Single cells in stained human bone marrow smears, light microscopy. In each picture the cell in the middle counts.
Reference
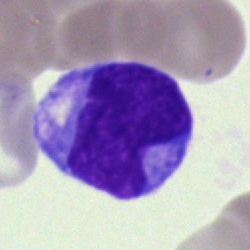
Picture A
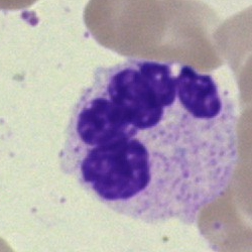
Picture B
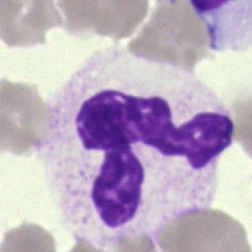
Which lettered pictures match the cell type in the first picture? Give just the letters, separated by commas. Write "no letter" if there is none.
no letter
